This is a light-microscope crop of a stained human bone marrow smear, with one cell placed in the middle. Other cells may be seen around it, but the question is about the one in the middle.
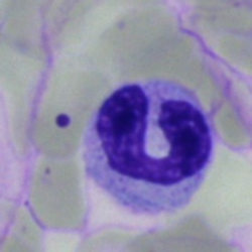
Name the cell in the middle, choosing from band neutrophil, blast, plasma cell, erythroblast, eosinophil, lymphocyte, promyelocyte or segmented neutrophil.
band neutrophil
